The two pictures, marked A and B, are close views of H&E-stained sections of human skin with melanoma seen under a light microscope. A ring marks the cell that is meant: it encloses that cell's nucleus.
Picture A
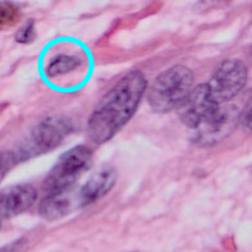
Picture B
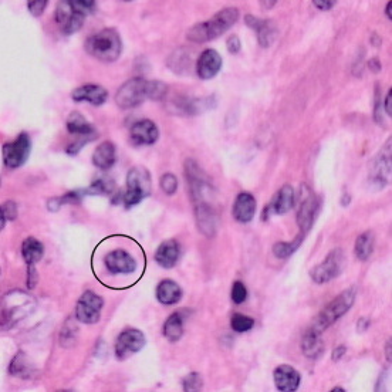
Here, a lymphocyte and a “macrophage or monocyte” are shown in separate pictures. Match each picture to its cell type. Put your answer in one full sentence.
Picture A is of a “macrophage or monocyte”, and picture B is of a lymphocyte.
